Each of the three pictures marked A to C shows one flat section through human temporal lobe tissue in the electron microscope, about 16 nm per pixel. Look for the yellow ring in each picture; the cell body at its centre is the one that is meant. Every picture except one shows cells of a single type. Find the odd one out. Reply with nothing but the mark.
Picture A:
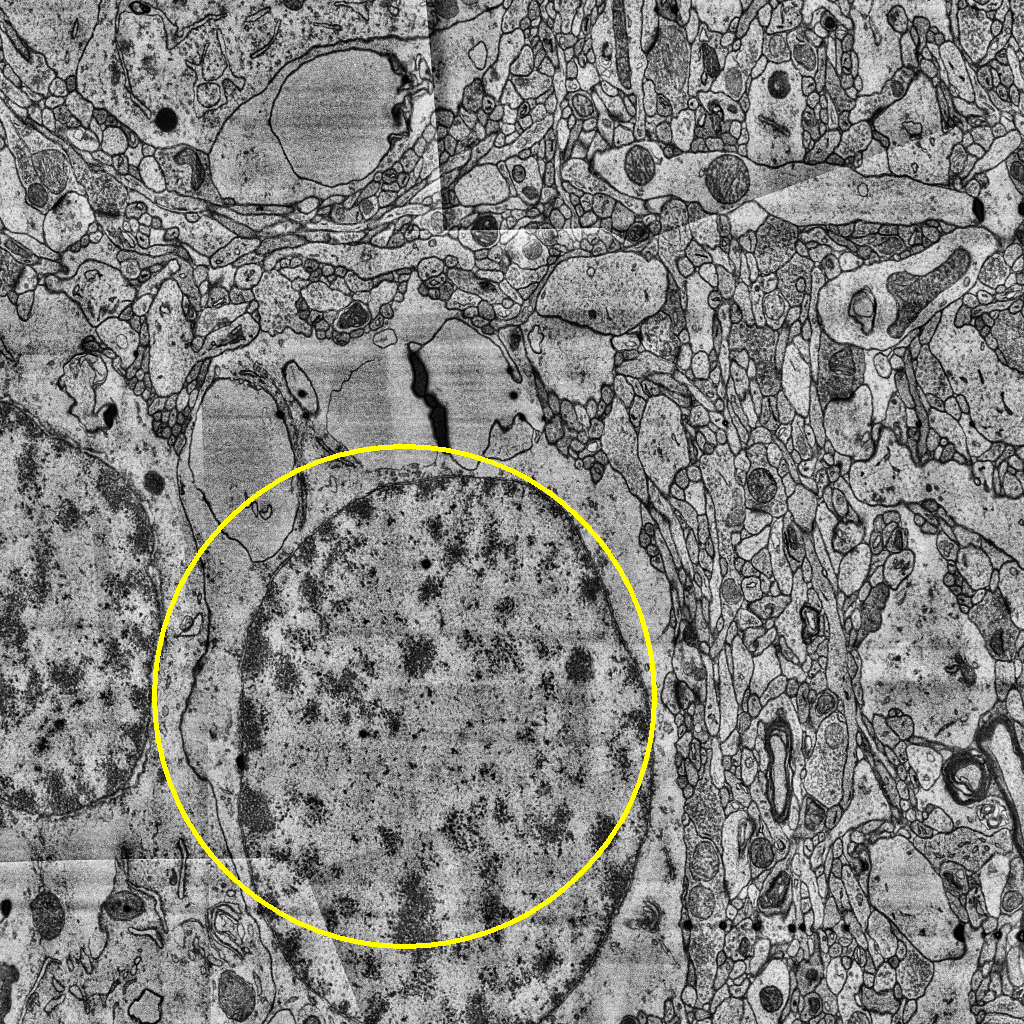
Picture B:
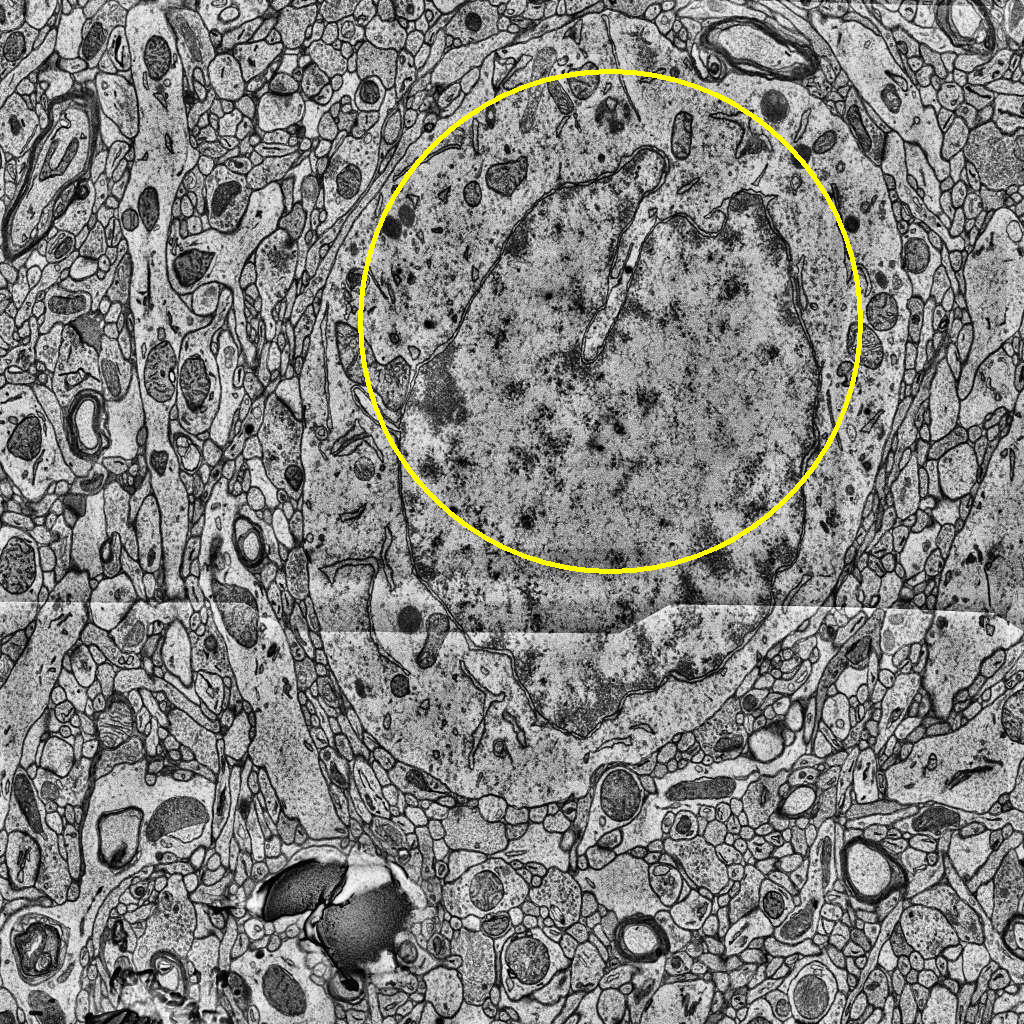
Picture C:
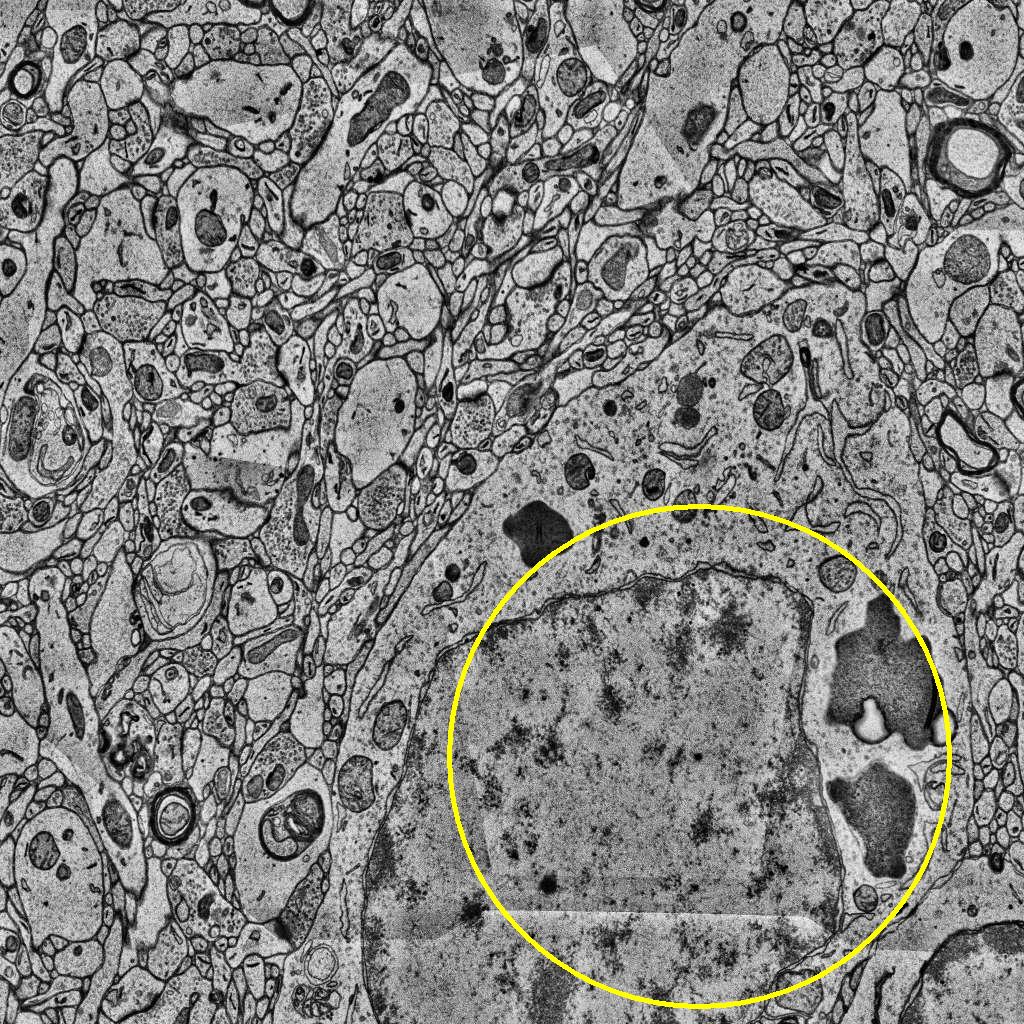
A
